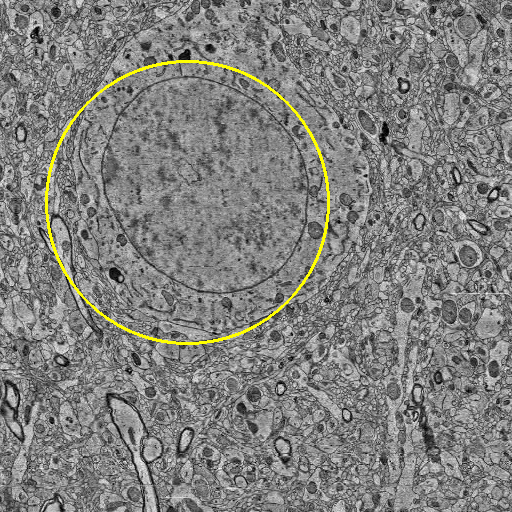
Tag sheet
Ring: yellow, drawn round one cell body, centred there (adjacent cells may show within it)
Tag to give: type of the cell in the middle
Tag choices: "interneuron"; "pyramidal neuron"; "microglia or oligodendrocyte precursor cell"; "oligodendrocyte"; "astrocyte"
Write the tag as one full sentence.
I tag the cell centred in the yellow ring as a pyramidal neuron in this picture.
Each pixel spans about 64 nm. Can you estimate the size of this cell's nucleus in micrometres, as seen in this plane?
Approximately 15 micrometres long and 13 micrometres wide, in this plane.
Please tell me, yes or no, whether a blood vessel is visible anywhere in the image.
No, none is visible.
